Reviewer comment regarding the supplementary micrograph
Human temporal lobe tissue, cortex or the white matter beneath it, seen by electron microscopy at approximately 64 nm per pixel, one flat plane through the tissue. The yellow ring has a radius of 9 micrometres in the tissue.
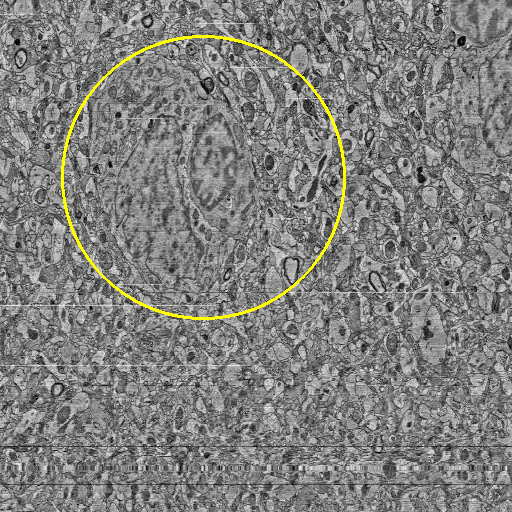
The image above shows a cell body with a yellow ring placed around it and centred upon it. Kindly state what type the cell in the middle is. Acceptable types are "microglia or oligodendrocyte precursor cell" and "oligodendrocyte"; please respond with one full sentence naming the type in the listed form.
In the image above, the cell on which the yellow ring is centred is an oligodendrocyte.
